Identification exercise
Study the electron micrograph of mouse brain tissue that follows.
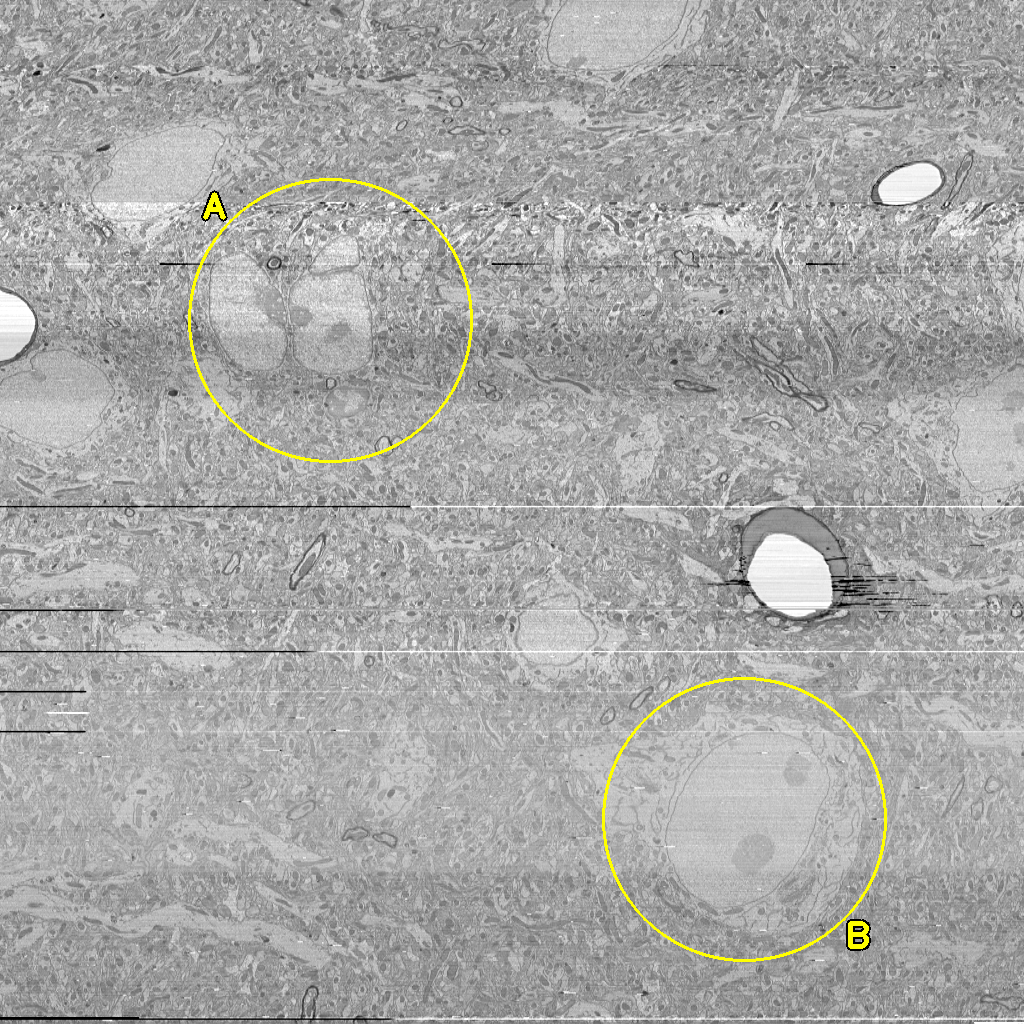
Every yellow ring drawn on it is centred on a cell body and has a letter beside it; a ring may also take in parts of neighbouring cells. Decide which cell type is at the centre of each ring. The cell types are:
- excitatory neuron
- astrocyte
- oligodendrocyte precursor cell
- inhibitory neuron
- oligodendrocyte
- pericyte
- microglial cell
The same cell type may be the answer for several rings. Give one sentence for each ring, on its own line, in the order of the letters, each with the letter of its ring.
Ring A encircles an astrocyte.
Ring B encircles an excitatory neuron.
